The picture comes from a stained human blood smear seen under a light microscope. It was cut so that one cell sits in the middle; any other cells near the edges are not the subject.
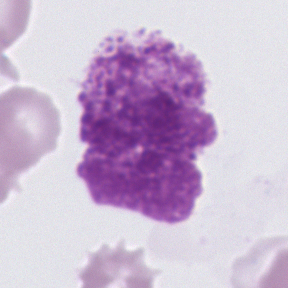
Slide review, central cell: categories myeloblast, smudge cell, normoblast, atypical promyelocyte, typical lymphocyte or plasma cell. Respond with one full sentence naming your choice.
The cell in the middle of the field of view is a smudge cell.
